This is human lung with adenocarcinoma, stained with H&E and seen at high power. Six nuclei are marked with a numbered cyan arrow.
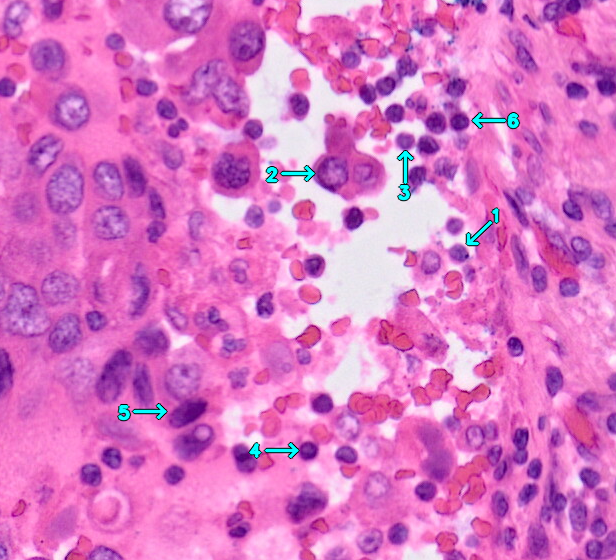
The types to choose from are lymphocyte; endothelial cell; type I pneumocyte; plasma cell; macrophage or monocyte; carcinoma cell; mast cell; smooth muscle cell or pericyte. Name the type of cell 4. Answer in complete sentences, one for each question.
The cell indicated with the number 4 is classed as a lymphocyte.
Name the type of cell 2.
Among the marked nuclei, number 2 belongs to a carcinoma cell.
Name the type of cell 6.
The cell referred to as 6 is a lymphocyte.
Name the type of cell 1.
The marked cell bearing number 1 is a lymphocyte.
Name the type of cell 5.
Belonging to a carcinoma cell is the nucleus that carries the number 5.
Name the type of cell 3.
At number 3, the marked cell is a lymphocyte.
